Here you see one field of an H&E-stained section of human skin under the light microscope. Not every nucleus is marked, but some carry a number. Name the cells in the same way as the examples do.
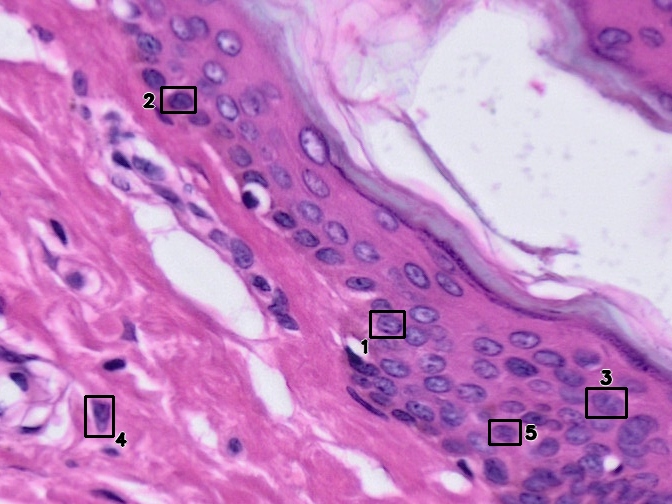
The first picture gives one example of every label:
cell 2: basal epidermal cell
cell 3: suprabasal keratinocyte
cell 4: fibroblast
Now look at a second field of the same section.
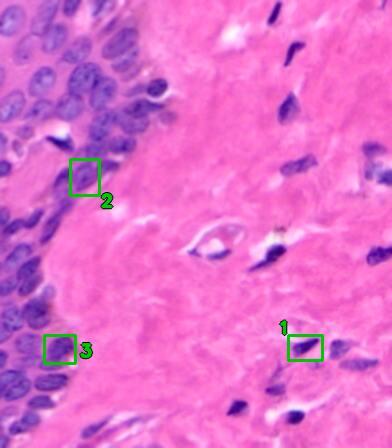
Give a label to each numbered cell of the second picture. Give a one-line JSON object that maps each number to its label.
{"1": "fibroblast", "2": "basal epidermal cell", "3": "basal epidermal cell"}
